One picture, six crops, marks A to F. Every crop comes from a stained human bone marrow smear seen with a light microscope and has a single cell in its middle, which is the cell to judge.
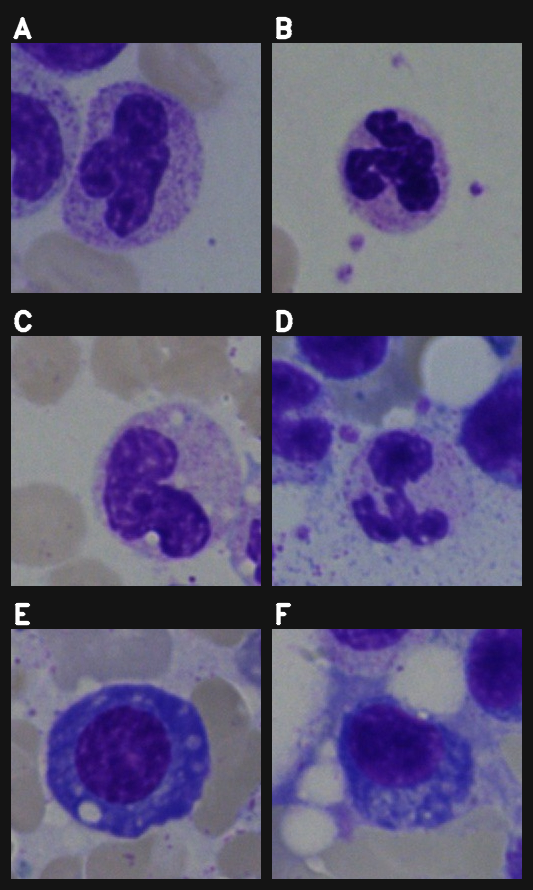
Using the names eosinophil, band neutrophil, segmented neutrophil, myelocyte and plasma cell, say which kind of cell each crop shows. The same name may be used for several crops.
A: band neutrophil
B: segmented neutrophil
C: band neutrophil
D: segmented neutrophil
E: plasma cell
F: plasma cell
